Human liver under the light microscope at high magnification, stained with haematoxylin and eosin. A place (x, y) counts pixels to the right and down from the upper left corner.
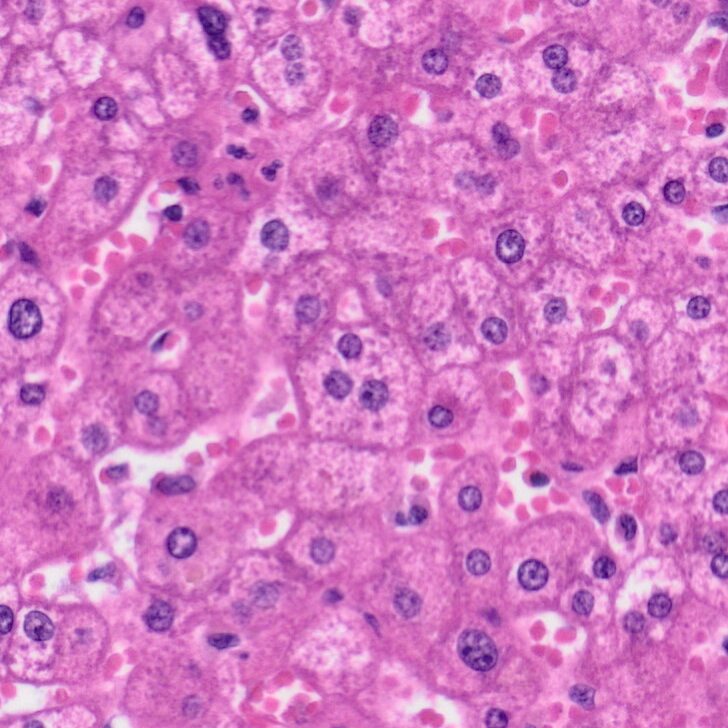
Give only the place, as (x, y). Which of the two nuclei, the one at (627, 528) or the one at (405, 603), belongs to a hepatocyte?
(405, 603)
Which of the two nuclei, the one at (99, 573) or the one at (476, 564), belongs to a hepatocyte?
(476, 564)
